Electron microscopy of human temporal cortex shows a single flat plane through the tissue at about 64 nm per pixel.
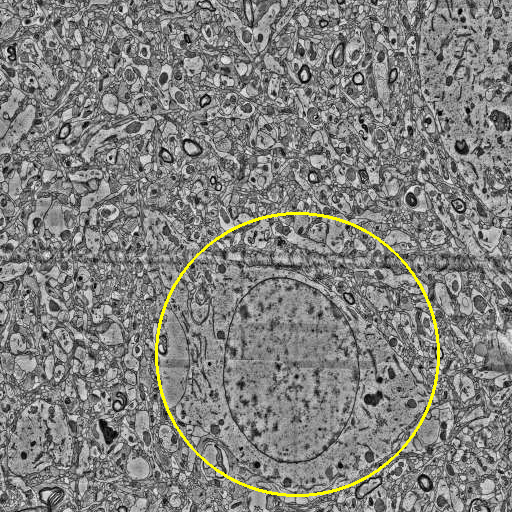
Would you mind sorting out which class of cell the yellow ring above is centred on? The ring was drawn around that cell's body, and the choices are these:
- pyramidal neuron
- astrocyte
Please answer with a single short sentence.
This is the cell body of a pyramidal neuron.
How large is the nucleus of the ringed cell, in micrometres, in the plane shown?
Roughly 12 by 9 micrometres is the size of the nucleus in this plane.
